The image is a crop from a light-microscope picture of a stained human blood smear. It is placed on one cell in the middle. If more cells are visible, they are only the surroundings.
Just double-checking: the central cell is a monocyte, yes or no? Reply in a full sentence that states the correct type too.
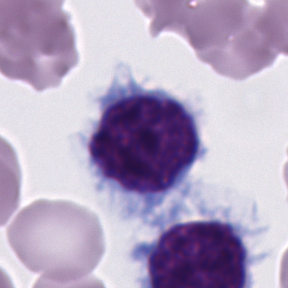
No, the cell in the middle is categorised as a hairy cell, not a monocyte.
